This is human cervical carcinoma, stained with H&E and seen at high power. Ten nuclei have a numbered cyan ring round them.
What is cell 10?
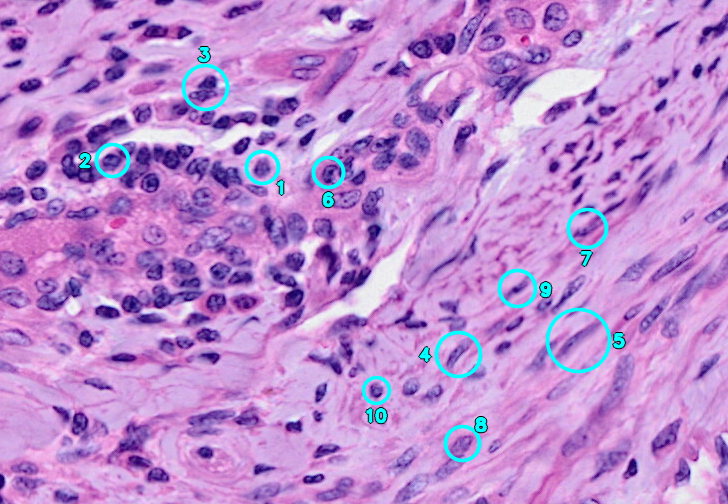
smooth muscle cell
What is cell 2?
lymphocyte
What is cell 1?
lymphocyte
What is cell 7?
smooth muscle cell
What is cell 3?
lymphocyte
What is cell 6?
endothelial cell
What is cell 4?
smooth muscle cell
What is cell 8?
smooth muscle cell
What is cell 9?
smooth muscle cell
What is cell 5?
smooth muscle cell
